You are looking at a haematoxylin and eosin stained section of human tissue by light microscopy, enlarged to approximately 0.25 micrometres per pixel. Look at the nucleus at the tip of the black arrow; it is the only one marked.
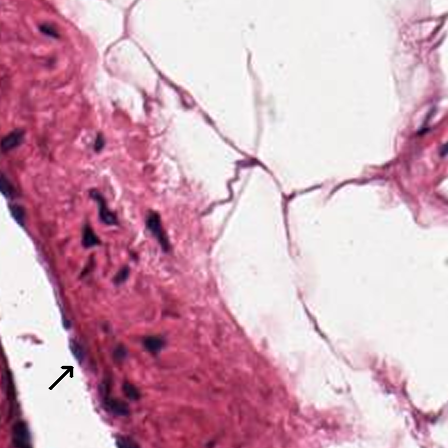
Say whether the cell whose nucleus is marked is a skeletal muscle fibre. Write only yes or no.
no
